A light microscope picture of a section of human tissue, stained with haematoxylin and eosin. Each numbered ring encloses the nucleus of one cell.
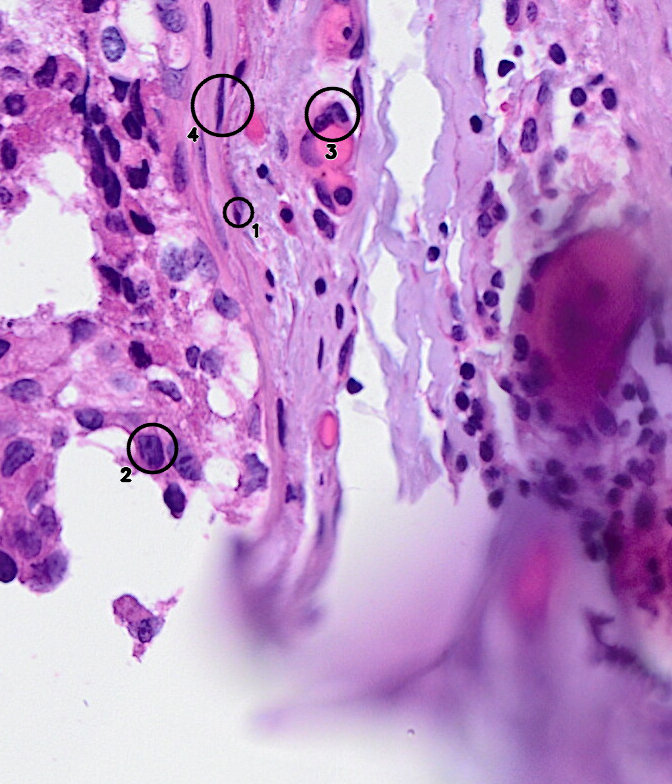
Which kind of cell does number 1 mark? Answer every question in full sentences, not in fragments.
Number 1 is placed on an endothelial cell here.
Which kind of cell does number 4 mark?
Regarding cell 4, this one is a fibroblast.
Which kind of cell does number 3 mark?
The cell indicated with the number 3 is classed as an endothelial cell.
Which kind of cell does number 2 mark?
To a carcinoma cell belongs the nucleus marked 2.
